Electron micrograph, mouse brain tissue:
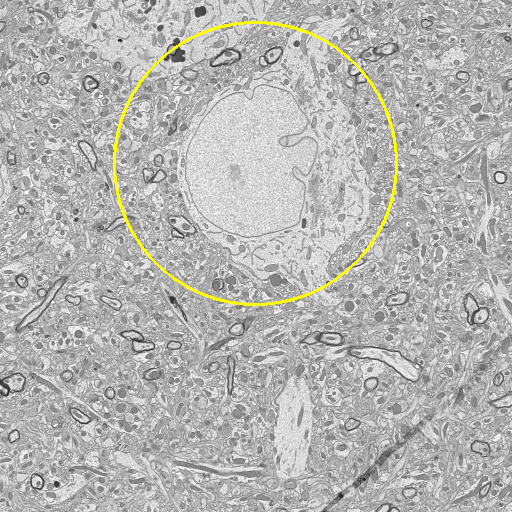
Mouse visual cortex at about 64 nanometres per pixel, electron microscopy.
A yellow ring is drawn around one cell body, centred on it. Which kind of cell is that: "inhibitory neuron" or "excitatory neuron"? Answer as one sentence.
It is an excitatory neuron at the centre of the ring.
